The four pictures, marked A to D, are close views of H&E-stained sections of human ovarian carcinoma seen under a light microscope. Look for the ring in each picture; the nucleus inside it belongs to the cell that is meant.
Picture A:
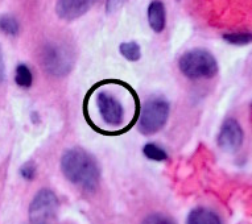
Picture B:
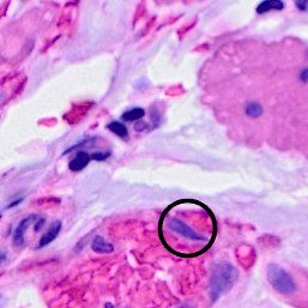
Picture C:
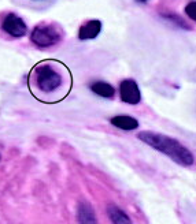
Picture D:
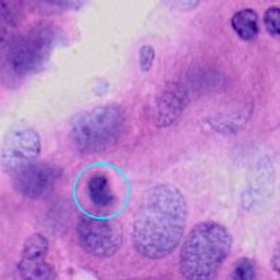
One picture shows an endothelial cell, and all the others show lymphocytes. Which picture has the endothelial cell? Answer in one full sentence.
The cell in picture B is the endothelial cell.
